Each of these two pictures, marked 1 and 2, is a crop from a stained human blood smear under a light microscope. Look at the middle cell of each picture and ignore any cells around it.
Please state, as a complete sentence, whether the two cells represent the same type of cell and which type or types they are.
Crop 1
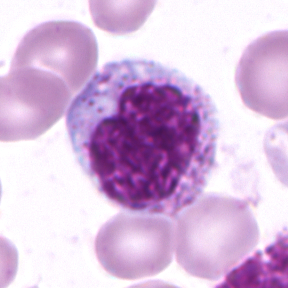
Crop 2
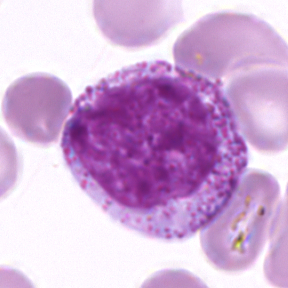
No, crop 1 shows a metamyelocyte and crop 2 a myelocyte.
